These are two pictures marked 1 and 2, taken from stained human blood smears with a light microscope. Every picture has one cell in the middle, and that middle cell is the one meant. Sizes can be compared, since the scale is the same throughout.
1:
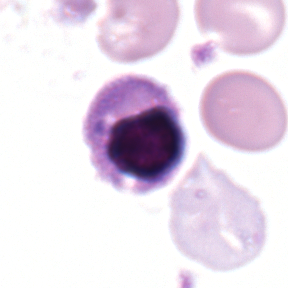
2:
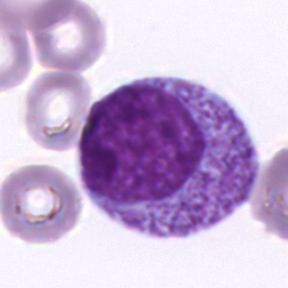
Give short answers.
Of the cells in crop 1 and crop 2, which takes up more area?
2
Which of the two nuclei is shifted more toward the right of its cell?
1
